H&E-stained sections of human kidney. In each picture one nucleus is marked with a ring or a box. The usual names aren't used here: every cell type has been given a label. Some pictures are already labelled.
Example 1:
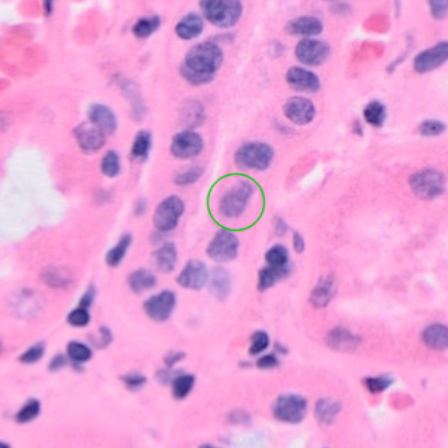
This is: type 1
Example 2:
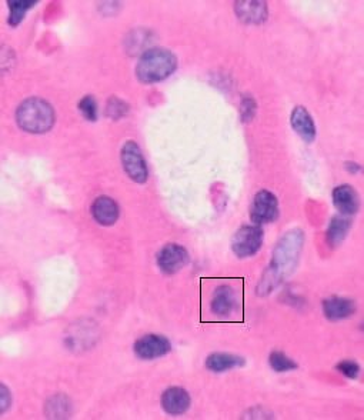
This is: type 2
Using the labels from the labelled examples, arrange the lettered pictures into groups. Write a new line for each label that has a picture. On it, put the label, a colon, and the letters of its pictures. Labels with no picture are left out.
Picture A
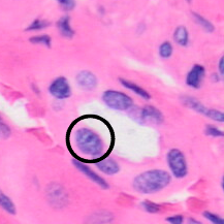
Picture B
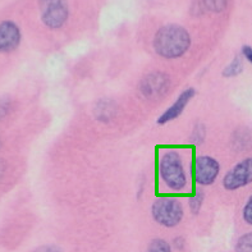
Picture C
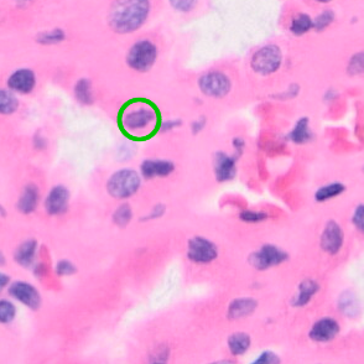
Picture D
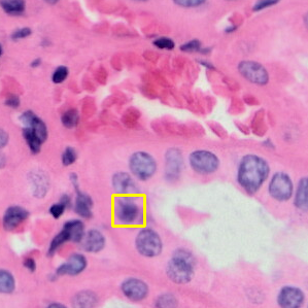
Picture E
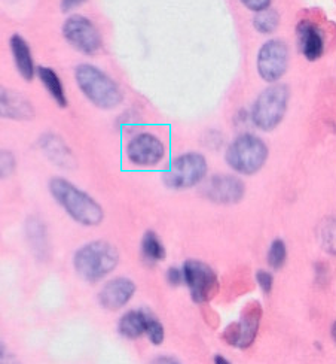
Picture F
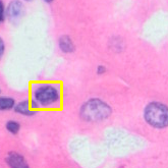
type 1: A, B, D, E, F
type 2: C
